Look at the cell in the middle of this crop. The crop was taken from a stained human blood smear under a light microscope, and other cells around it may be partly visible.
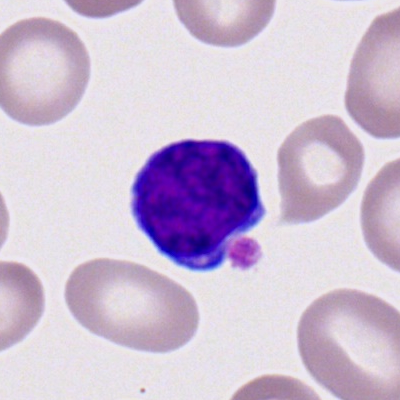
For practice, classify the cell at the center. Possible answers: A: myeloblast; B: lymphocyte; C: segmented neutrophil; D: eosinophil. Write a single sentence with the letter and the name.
This one is option B, since the cell at the center is a lymphocyte.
